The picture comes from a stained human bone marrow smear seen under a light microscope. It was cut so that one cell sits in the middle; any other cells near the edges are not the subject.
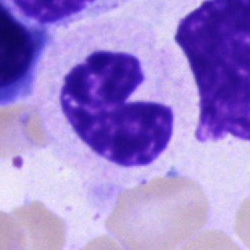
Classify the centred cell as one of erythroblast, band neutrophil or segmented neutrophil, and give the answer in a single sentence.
The middle cell in this particular crop is a band neutrophil.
